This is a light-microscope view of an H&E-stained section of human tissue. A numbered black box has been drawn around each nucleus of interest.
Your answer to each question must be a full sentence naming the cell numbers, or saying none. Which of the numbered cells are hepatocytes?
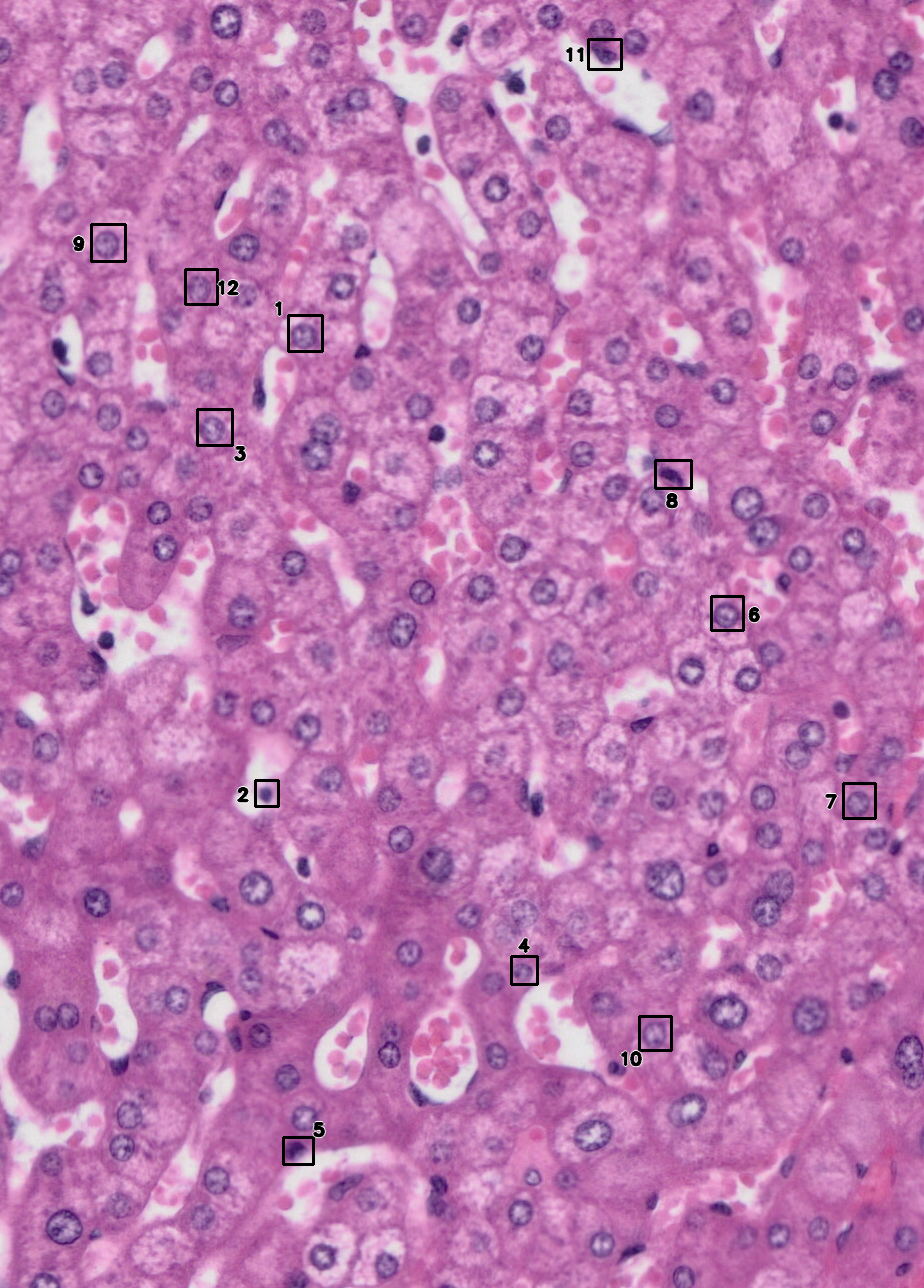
The cells numbered 1, 3, 6, 7, 9, 10 and 12 are of one kind: hepatocytes.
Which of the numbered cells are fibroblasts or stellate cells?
The cells that have numbers 5 and 8 are fibroblasts or stellate cells.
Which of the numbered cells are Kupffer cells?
Only one marked cell, number 11, is a Kupffer cell.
